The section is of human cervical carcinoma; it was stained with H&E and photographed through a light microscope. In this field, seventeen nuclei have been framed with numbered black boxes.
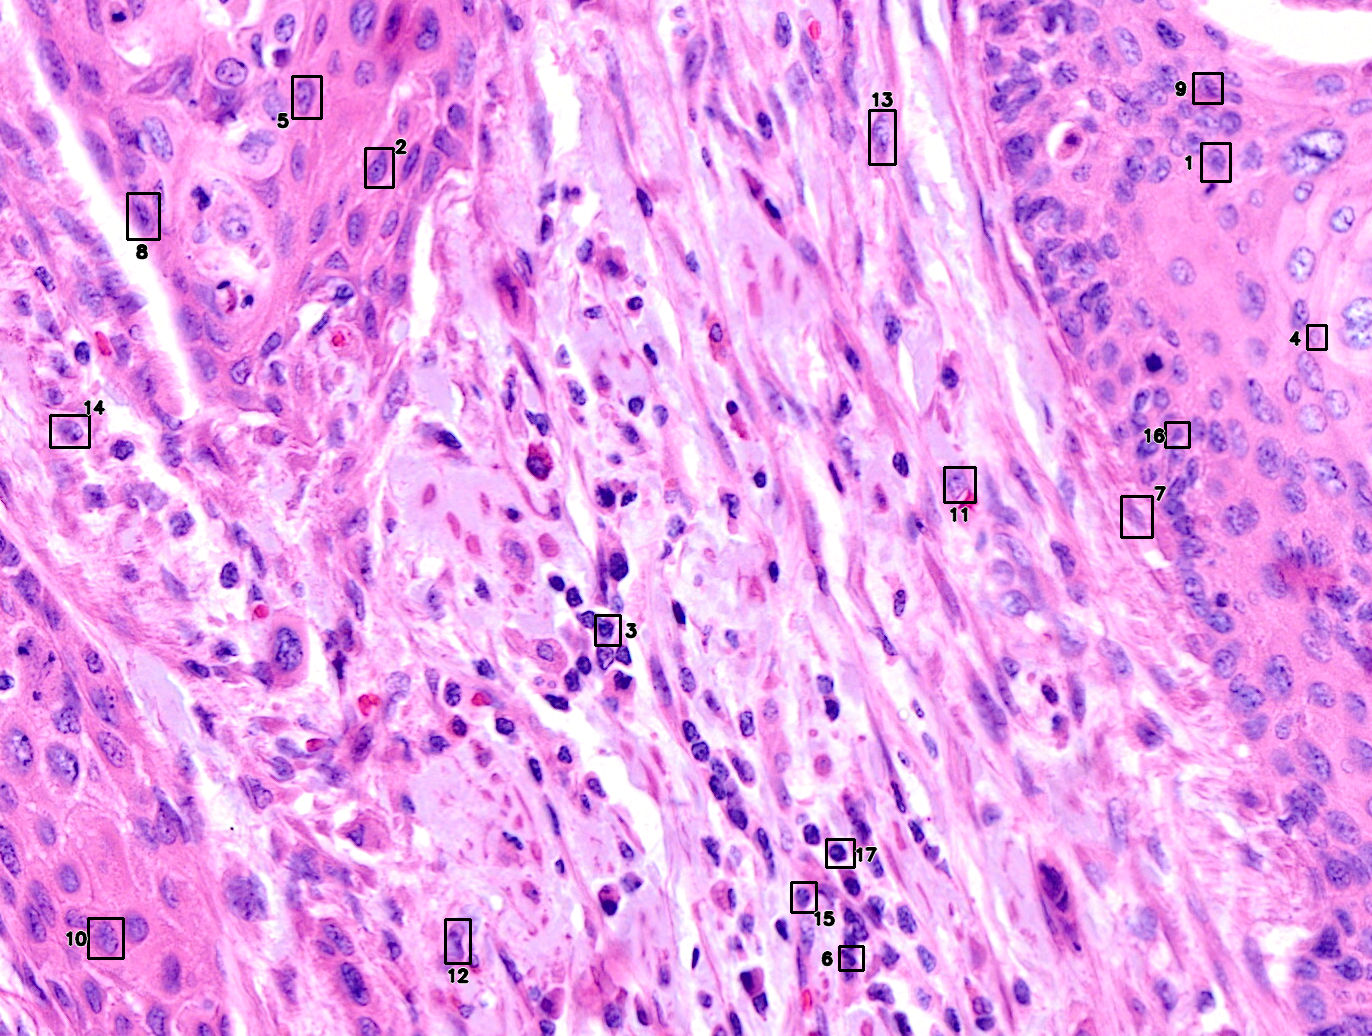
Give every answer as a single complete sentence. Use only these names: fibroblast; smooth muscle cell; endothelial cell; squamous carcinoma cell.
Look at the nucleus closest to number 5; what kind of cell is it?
The nearest nucleus to number 5 belongs to a squamous carcinoma cell.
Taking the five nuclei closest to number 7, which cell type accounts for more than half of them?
Most of the five nuclei nearest to number 7 are those of squamous carcinoma cells.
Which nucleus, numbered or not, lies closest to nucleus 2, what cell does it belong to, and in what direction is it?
A squamous carcinoma cell lies closest, to the right of nucleus 2.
